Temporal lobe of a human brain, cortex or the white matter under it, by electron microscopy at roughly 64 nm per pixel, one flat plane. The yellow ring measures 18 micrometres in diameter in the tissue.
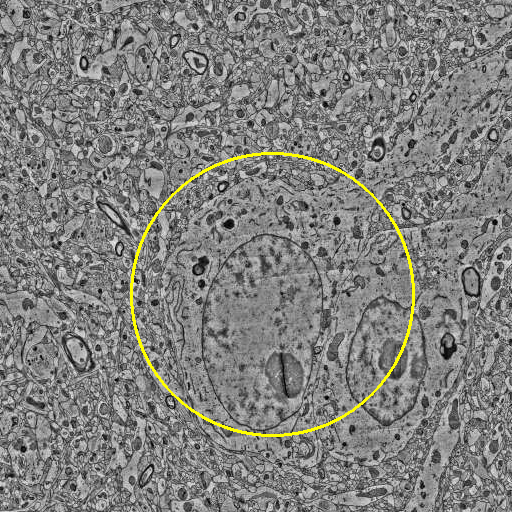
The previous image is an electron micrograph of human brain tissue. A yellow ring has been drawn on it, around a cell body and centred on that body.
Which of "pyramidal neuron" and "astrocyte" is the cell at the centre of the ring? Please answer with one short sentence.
The cell body at the centre of the ring belongs to a pyramidal neuron.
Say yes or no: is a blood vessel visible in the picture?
No.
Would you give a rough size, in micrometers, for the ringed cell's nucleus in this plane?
In this plane, about 13 by 8 micrometres: the nucleus is clearly longer than it is wide.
